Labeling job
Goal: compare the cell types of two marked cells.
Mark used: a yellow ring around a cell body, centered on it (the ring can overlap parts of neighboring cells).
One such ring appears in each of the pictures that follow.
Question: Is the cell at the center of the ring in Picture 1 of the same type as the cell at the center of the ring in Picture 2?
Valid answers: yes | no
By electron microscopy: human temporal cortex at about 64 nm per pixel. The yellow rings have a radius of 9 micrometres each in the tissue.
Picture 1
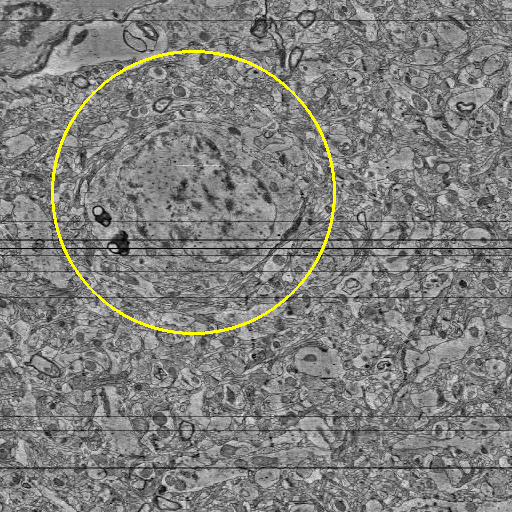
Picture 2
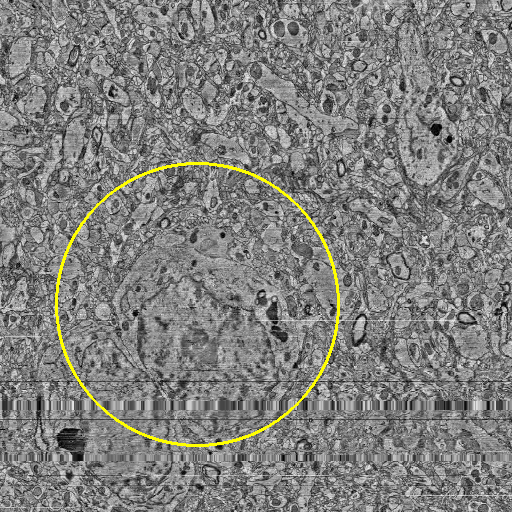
yes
